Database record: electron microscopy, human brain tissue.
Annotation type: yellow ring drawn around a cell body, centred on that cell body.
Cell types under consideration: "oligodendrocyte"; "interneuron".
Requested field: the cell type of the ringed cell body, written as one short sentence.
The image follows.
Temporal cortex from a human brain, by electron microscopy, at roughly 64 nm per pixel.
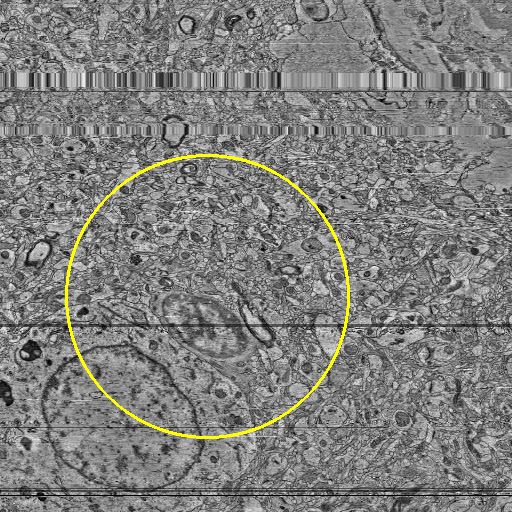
The ringed cell body represents an oligodendrocyte.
